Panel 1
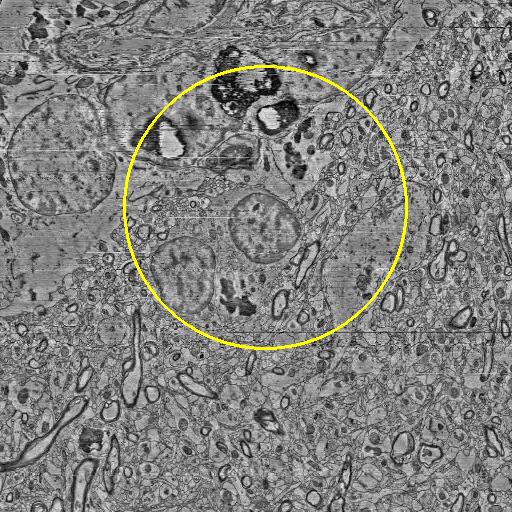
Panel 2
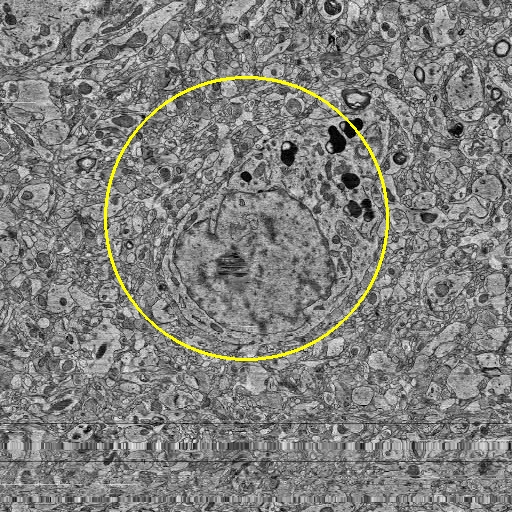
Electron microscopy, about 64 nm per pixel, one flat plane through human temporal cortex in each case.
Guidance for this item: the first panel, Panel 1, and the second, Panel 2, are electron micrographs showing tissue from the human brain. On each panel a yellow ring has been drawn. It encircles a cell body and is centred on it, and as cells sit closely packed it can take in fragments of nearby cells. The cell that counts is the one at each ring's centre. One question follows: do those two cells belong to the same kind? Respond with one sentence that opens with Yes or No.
No, the cells at the ring centres in Panel 1 and Panel 2 are of two kinds.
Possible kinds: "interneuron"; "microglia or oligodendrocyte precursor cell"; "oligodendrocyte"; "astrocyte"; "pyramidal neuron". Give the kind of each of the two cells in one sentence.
The cell in the second picture is an interneuron, and that in the first is an oligodendrocyte.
